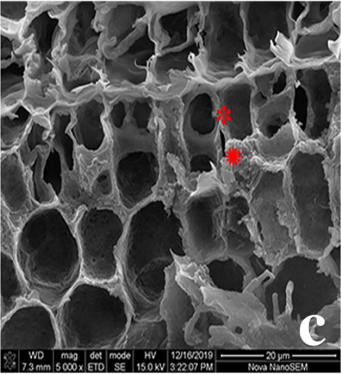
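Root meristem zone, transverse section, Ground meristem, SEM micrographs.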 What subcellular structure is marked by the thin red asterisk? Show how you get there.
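Cell wall. The thin asterisk sits on a thin sheet-like partition between two cell lumens.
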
